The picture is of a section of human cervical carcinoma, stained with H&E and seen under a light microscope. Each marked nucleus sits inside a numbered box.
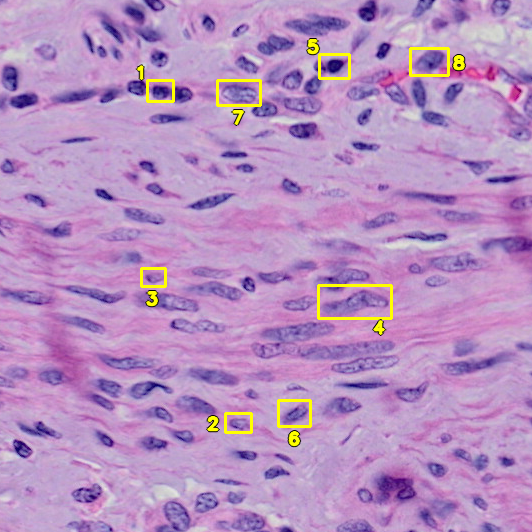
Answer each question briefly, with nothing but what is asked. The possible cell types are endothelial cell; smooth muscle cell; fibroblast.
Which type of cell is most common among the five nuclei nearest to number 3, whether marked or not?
smooth muscle cell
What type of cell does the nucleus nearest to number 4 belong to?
smooth muscle cell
